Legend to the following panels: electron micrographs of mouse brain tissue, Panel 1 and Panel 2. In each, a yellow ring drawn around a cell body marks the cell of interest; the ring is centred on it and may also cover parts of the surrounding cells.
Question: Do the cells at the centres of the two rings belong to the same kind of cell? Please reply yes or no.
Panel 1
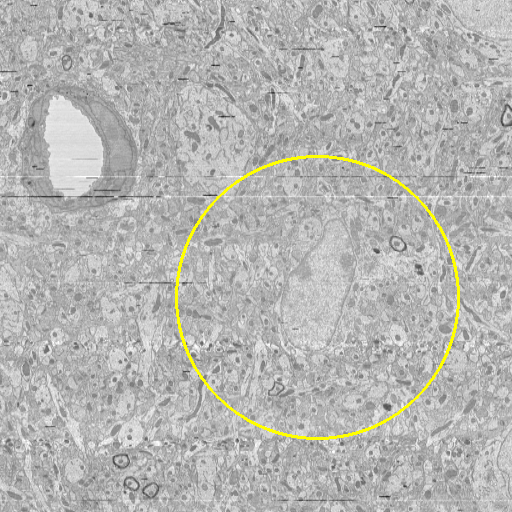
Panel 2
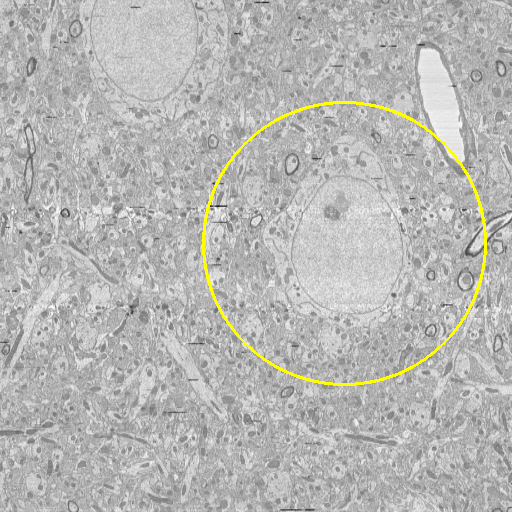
no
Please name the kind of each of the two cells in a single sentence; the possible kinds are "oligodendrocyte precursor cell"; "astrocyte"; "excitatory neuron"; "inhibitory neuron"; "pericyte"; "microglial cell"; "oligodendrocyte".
In the first picture the ring is centred on an astrocyte, and in the second on an excitatory neuron.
